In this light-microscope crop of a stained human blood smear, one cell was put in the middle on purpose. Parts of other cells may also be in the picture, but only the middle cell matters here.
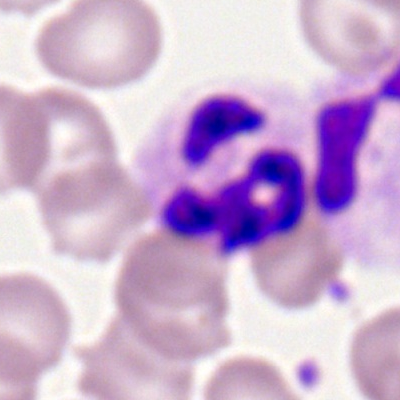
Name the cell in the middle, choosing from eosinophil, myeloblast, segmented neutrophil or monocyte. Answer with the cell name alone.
segmented neutrophil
